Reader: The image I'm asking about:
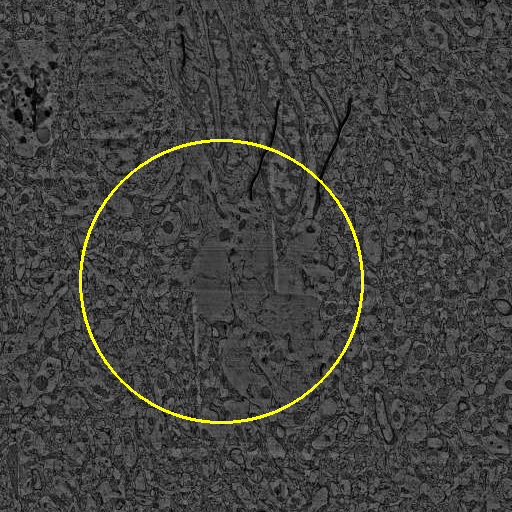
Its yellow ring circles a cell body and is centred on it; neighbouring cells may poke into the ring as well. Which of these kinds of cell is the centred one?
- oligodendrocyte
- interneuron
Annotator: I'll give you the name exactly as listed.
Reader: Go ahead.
oligodendrocyte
